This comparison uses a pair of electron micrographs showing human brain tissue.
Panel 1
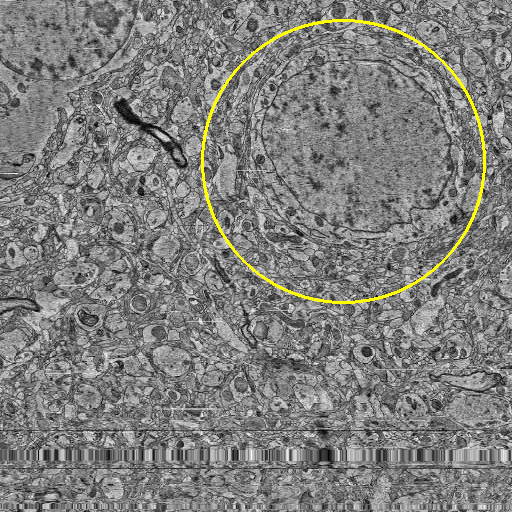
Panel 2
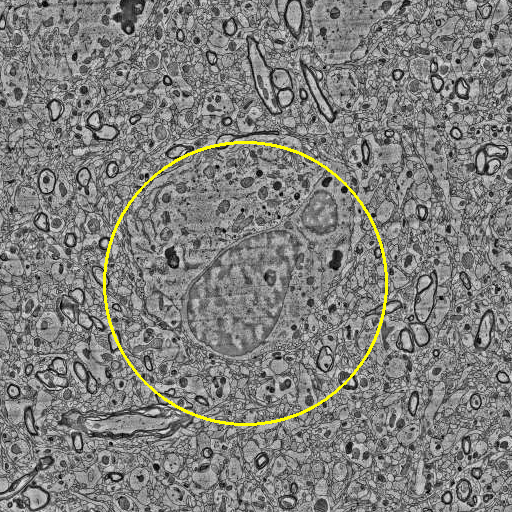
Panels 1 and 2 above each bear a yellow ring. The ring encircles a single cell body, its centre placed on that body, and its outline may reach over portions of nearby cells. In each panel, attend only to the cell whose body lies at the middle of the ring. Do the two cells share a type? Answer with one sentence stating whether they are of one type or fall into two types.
In Panel 1 and Panel 2, the cells at the centres of the rings fall into two types.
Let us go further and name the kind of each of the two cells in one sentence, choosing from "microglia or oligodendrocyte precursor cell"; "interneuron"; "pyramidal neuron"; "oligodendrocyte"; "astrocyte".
The ring of the first picture is on a pyramidal neuron, the ring of the second on an oligodendrocyte.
